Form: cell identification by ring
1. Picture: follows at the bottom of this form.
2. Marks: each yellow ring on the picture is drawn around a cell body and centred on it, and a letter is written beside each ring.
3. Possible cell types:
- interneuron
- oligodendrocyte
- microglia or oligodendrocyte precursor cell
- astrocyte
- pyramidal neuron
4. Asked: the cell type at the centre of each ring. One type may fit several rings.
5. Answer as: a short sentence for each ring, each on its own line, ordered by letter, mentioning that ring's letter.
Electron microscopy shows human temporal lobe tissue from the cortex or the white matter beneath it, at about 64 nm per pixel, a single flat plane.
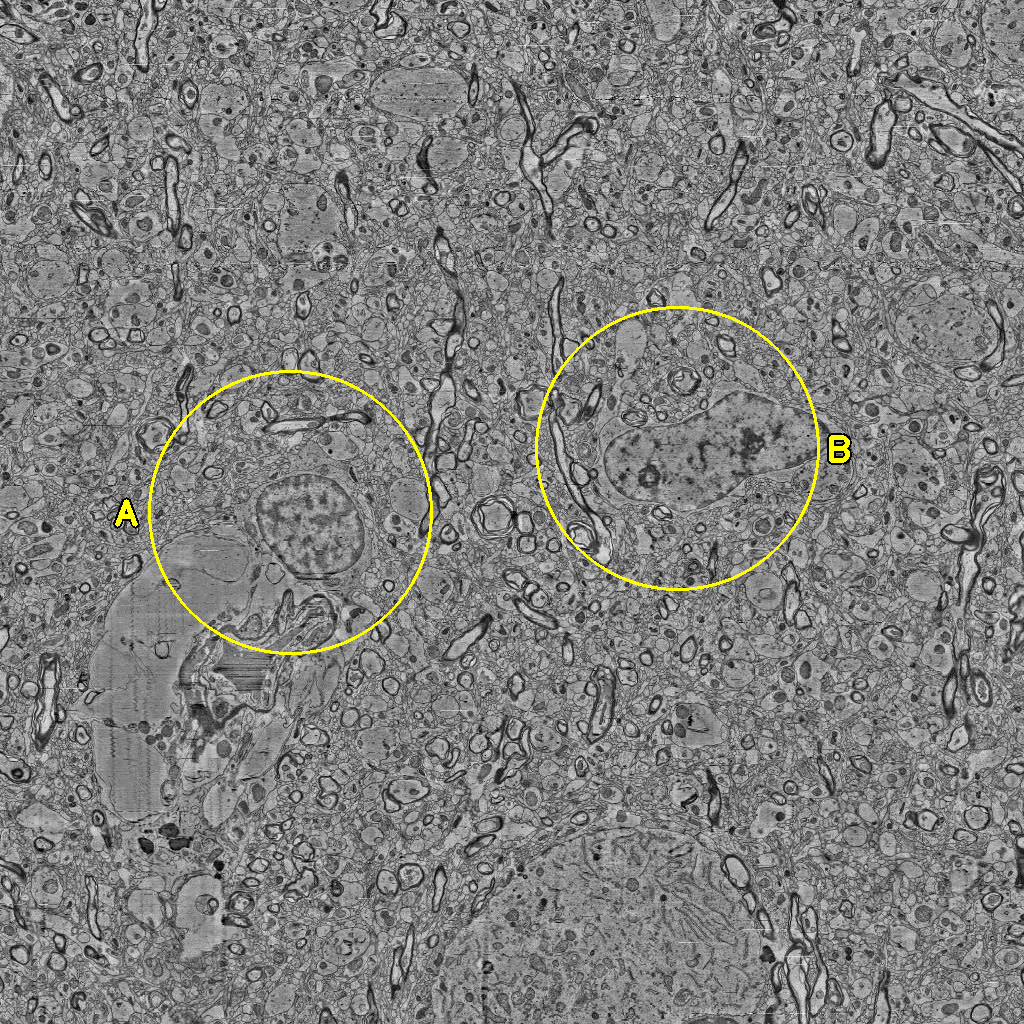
The cell at ring A's centre is an oligodendrocyte.
The cell at ring B's centre is a microglial cell or oligodendrocyte precursor cell.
